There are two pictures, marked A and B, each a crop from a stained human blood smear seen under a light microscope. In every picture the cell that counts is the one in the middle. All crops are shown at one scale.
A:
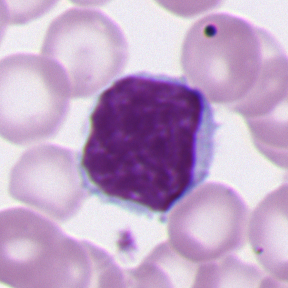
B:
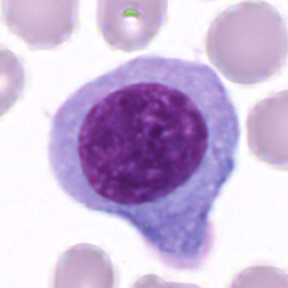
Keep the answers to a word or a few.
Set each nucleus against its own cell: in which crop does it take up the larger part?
A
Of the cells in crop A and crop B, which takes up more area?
B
